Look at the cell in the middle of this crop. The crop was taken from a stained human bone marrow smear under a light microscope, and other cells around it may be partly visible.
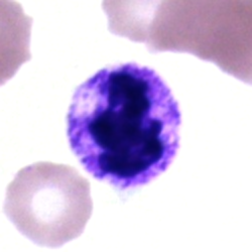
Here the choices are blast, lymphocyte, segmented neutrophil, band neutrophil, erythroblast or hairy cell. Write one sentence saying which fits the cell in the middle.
The cell shown in the center of this light-microscope crop is a segmented neutrophil.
